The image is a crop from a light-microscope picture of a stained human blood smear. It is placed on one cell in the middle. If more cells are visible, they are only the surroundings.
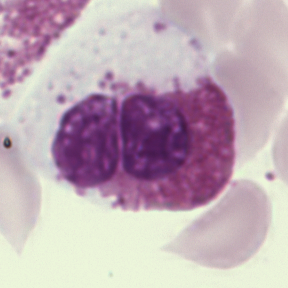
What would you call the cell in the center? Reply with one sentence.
Regarding the central cell, it is an eosinophil.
